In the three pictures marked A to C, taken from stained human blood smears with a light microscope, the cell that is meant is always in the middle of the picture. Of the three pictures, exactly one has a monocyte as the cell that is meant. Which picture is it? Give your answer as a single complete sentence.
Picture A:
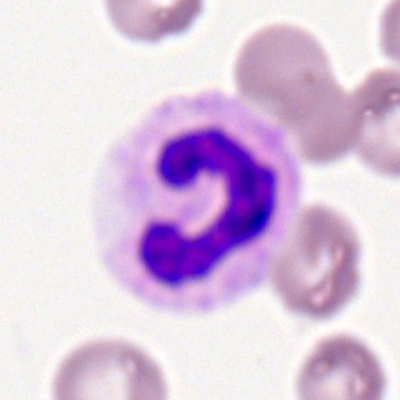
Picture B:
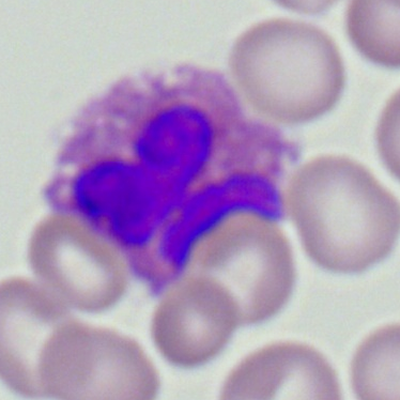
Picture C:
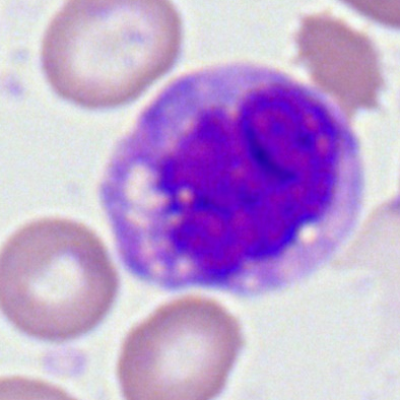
It is picture C that shows the monocyte.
